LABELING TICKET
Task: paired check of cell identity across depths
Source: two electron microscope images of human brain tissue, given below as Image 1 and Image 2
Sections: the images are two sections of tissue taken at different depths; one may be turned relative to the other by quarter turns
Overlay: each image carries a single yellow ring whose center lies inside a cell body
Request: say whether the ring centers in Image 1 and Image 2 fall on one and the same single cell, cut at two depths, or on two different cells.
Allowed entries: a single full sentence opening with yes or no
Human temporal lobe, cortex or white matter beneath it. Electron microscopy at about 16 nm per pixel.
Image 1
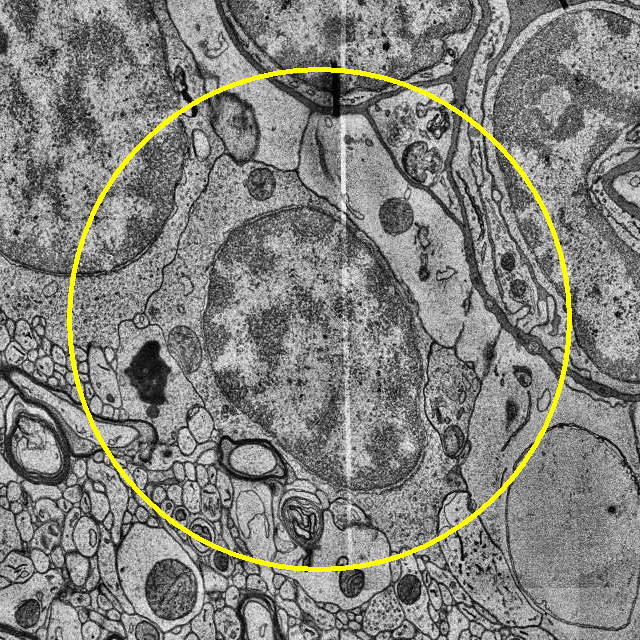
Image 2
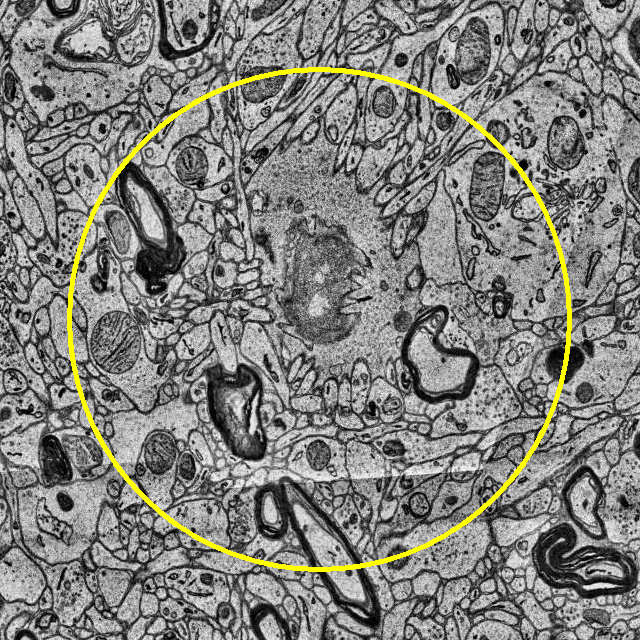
No, the rings surround different cells rather than one cell.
